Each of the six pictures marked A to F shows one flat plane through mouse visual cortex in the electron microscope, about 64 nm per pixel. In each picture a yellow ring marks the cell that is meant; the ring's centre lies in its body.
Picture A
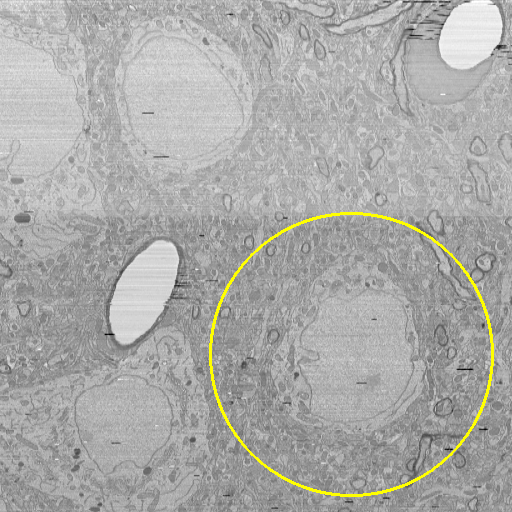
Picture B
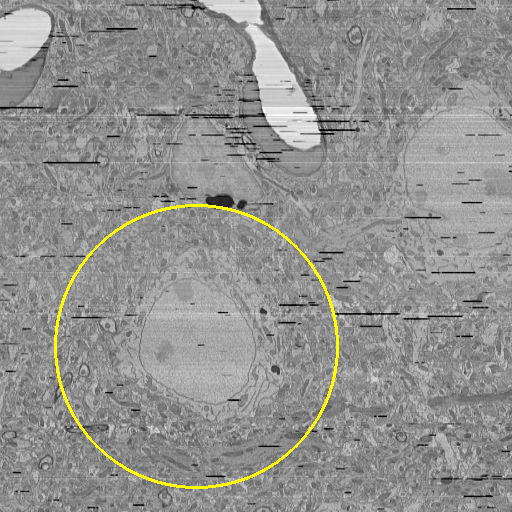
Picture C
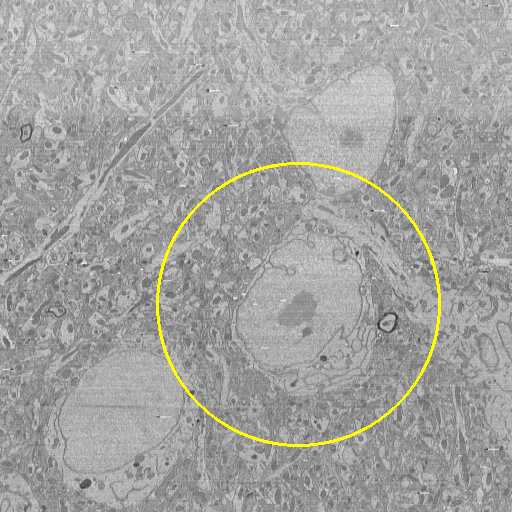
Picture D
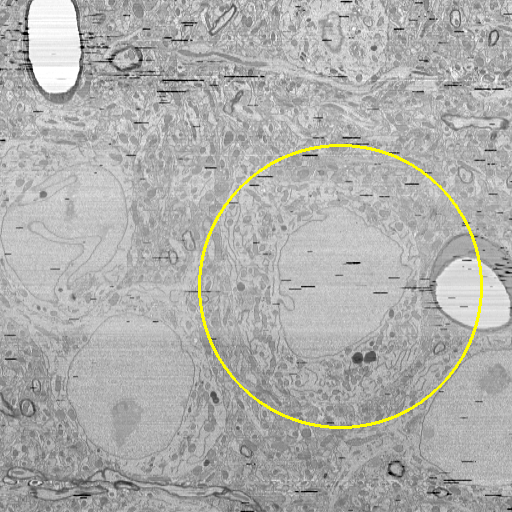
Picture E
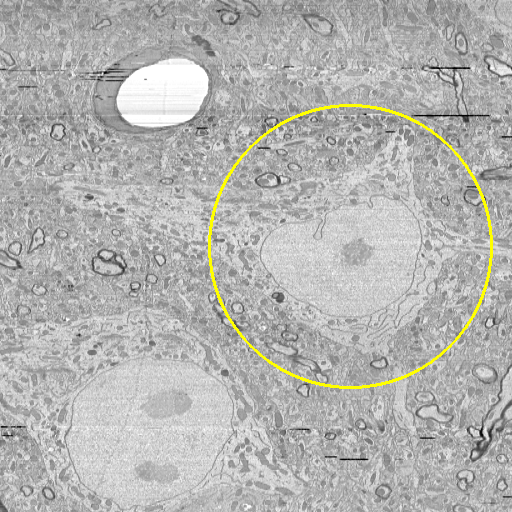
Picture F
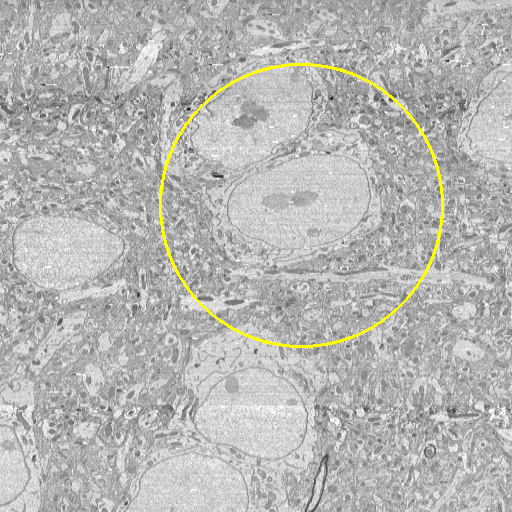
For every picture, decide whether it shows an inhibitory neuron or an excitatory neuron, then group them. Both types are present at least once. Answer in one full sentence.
Pictures C and D show inhibitory neurons, while pictures A, B, E and F show excitatory neurons.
